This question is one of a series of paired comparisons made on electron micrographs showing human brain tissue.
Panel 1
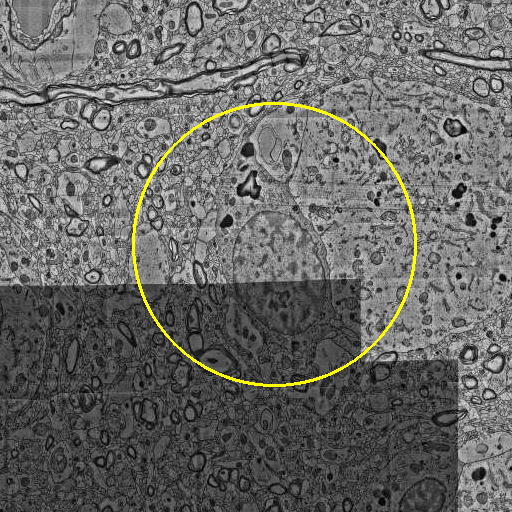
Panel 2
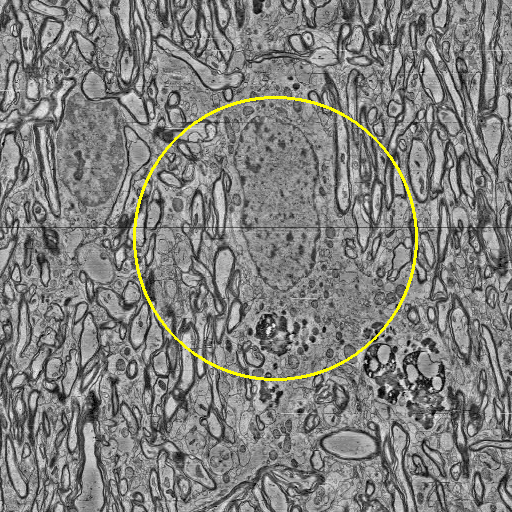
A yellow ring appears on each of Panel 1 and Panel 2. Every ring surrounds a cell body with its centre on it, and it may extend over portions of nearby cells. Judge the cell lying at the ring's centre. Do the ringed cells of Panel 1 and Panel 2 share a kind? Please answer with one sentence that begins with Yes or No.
No, the ring-centre cell in Panel 1 and the one in Panel 2 are of two kinds.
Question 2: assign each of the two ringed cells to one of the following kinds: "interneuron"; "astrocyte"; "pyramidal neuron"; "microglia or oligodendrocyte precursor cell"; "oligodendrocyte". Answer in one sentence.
The two cells are an oligodendrocyte in the first picture and an astrocyte in the second.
